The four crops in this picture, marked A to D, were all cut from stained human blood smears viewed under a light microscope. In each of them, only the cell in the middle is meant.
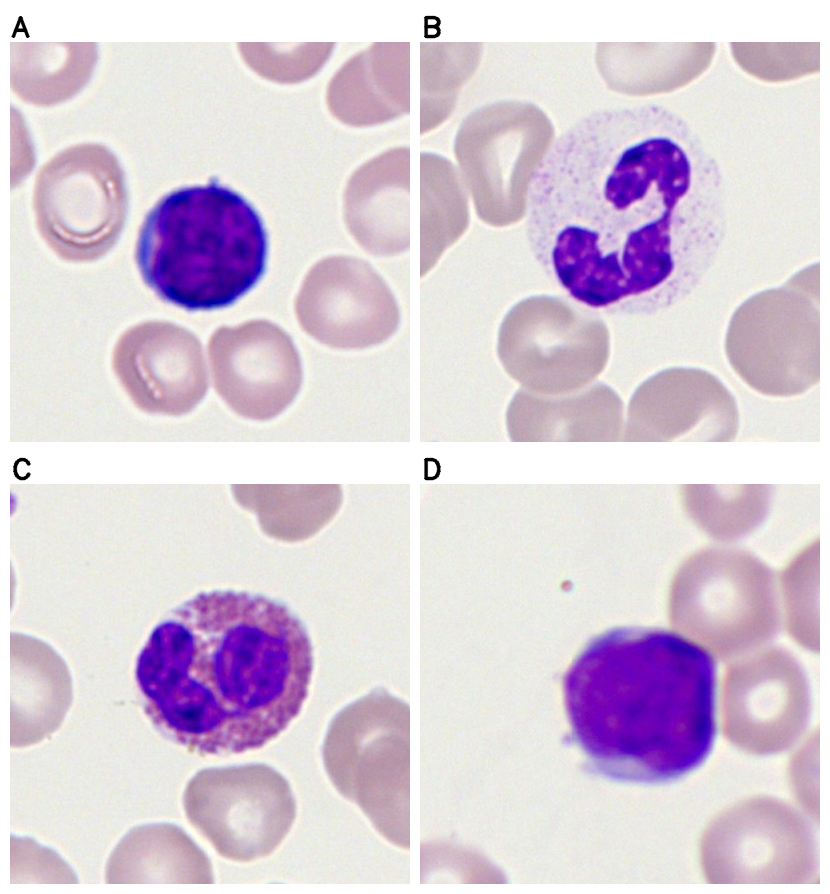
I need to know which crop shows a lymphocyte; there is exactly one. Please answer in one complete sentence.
The crop marked A is the one that shows a lymphocyte.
